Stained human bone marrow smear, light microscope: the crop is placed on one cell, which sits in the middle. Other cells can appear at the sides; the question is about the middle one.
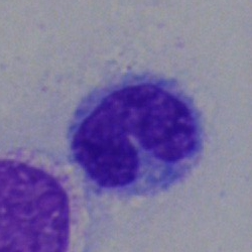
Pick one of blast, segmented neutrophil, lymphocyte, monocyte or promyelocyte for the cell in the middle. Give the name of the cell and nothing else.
monocyte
